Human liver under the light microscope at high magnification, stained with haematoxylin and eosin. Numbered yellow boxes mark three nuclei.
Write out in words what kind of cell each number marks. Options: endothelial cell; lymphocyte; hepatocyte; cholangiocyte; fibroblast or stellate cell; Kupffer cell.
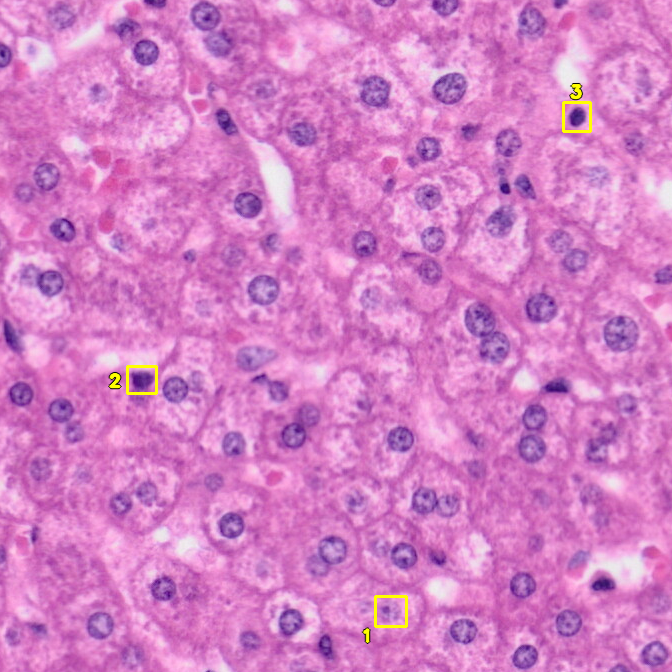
Cell 1 is a hepatocyte, cell 2 is a fibroblast or stellate cell and cell 3 is a lymphocyte.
